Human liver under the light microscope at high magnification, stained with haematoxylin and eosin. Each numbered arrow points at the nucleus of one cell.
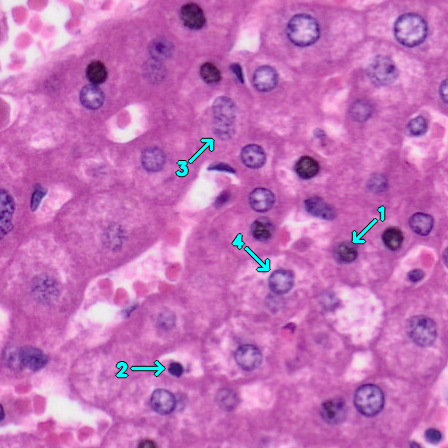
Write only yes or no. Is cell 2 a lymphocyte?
yes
